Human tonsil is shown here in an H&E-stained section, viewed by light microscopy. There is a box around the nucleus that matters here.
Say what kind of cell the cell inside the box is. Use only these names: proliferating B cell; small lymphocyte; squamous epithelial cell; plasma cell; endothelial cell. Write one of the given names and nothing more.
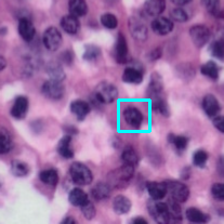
plasma cell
